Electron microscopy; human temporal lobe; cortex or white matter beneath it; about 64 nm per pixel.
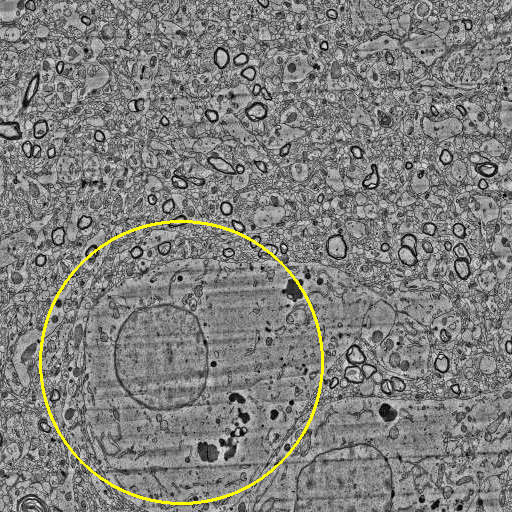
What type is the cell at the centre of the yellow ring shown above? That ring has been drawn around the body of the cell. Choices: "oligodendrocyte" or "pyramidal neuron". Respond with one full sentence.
My answer is that a pyramidal neuron lies at the centre of the yellow ring above.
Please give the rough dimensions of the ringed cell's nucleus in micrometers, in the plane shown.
The nucleus measures about 7 micrometers across in this plane.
